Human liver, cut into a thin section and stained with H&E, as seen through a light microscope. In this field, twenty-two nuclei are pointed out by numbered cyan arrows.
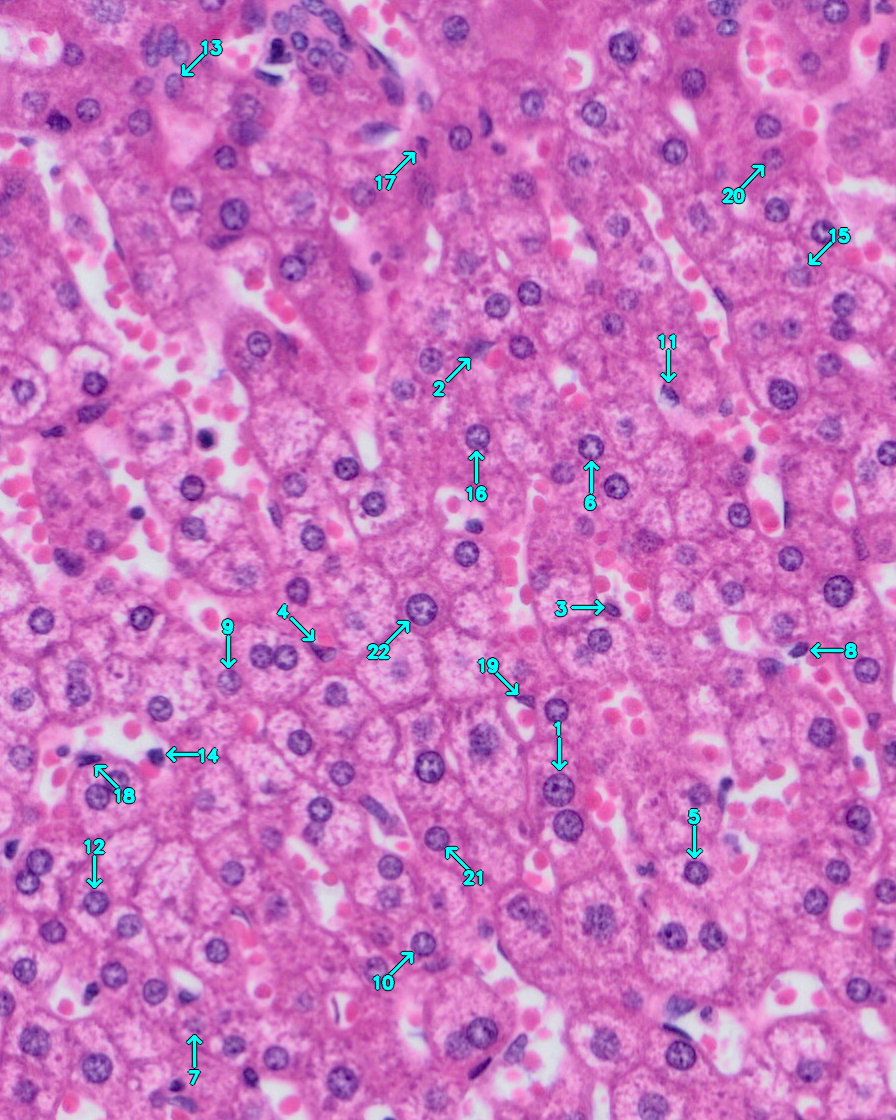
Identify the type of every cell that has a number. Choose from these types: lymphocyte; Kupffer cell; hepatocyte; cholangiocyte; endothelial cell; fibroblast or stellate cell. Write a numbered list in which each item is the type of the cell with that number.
1. hepatocyte
2. endothelial cell
3. Kupffer cell
4. endothelial cell
5. hepatocyte
6. hepatocyte
7. hepatocyte
8. lymphocyte
9. hepatocyte
10. hepatocyte
11. endothelial cell
12. hepatocyte
13. cholangiocyte
14. lymphocyte
15. hepatocyte
16. hepatocyte
17. fibroblast or stellate cell
18. fibroblast or stellate cell
19. endothelial cell
20. hepatocyte
21. hepatocyte
22. hepatocyte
